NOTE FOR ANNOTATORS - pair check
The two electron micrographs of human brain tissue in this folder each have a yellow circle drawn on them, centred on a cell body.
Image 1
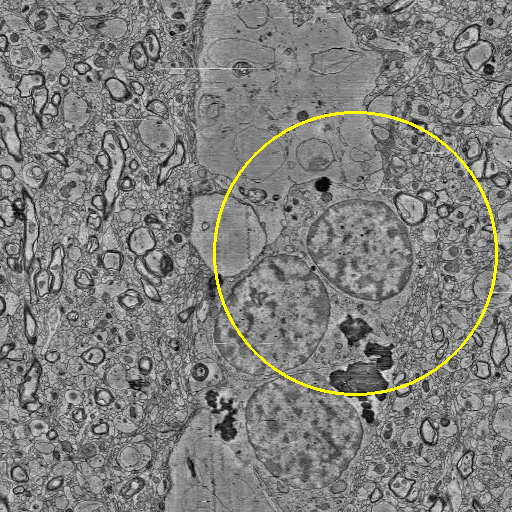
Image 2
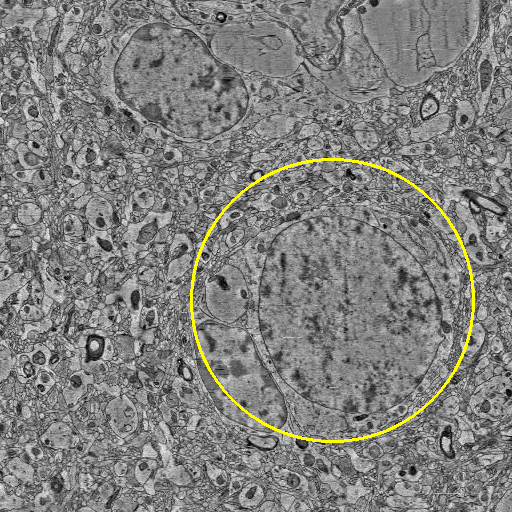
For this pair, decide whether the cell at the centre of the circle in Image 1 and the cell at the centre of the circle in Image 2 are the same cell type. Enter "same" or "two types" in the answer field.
two types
